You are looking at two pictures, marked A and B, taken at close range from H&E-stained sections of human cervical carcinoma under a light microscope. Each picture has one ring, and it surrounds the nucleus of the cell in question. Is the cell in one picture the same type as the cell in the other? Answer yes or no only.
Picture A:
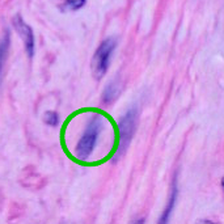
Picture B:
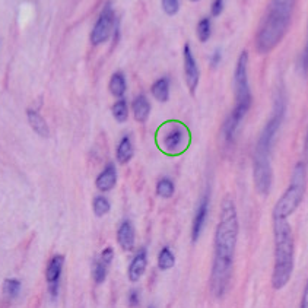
yes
